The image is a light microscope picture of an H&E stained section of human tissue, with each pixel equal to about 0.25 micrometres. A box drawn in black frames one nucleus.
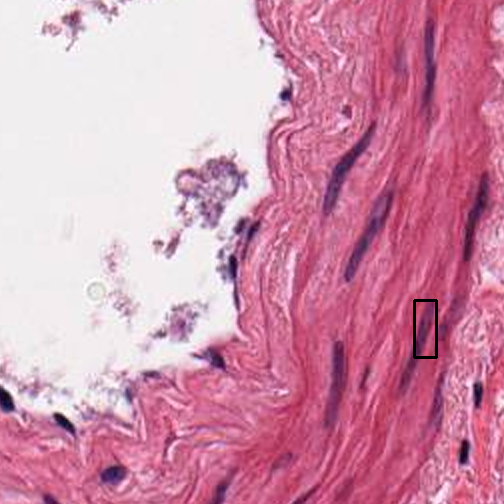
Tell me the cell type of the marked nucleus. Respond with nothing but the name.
smooth muscle cell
